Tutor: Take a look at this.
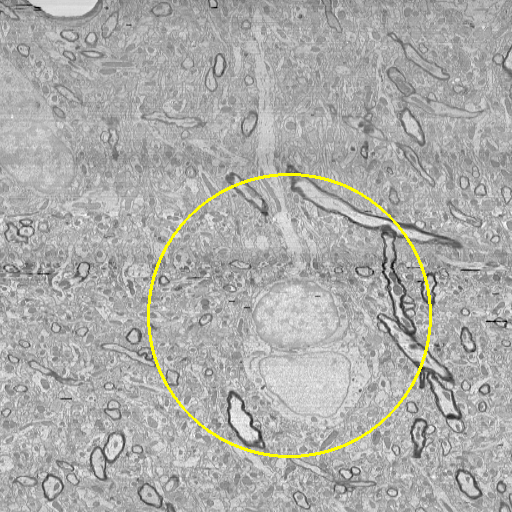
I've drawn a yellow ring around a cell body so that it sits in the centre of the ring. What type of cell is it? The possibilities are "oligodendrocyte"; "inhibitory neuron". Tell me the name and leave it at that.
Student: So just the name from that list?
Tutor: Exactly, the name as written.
oligodendrocyte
